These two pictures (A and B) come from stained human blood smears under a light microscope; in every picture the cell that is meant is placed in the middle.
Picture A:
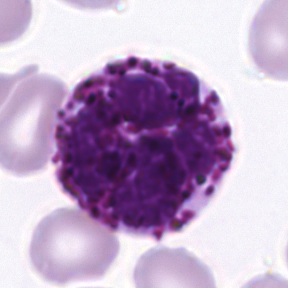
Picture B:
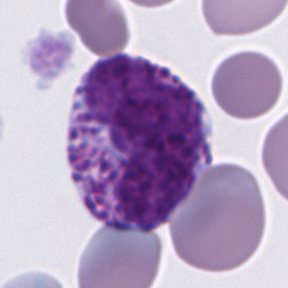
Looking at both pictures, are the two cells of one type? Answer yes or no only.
yes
